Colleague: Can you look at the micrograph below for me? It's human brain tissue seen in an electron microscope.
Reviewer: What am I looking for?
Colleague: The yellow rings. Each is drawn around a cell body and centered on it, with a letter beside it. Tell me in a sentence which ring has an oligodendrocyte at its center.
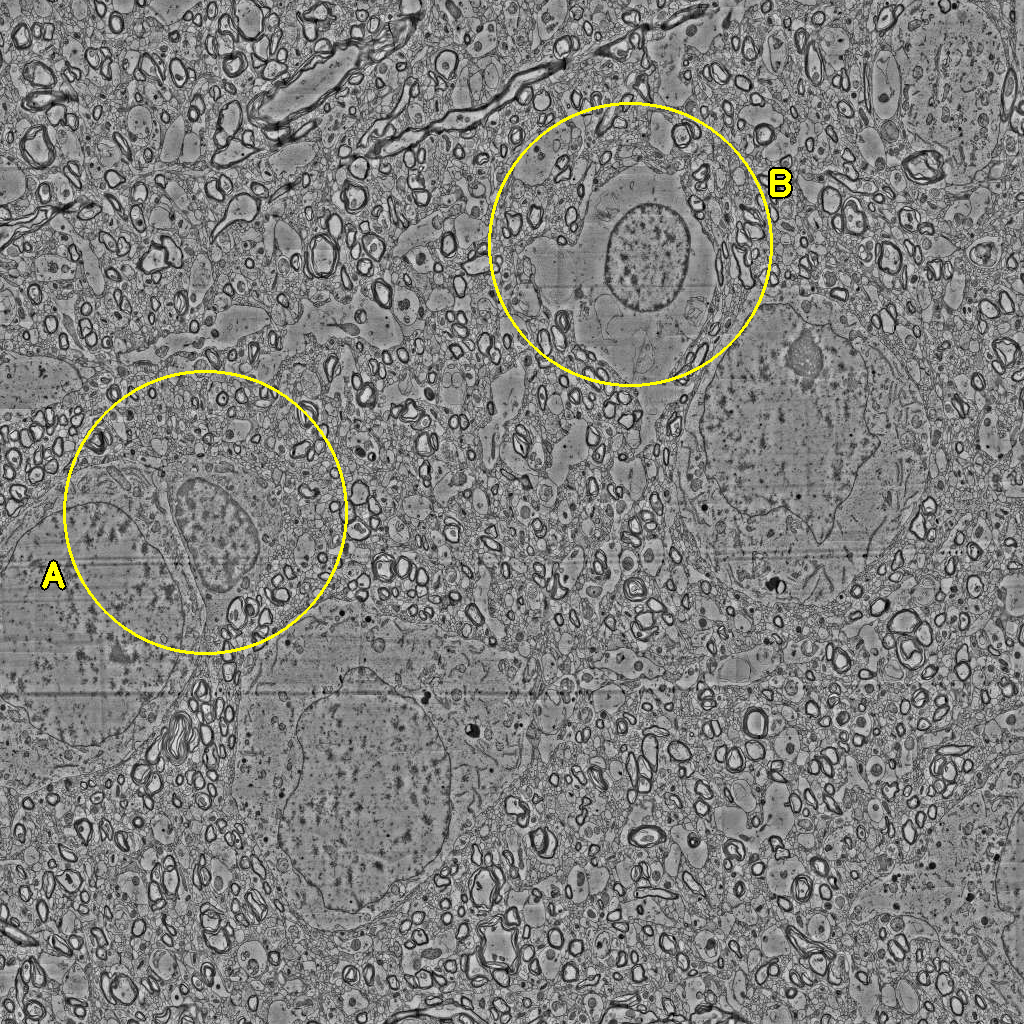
It's the cell in ring A.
